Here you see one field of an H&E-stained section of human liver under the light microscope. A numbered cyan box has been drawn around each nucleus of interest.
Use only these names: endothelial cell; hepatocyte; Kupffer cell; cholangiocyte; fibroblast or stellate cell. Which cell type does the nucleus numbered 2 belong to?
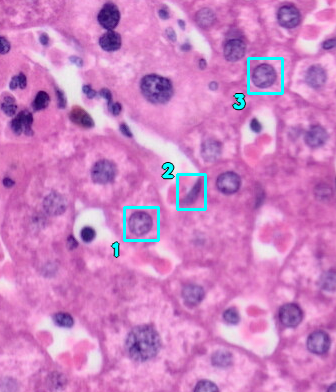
endothelial cell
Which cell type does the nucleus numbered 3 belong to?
hepatocyte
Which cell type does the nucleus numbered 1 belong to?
hepatocyte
